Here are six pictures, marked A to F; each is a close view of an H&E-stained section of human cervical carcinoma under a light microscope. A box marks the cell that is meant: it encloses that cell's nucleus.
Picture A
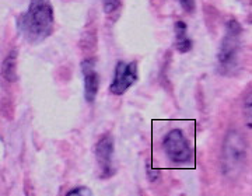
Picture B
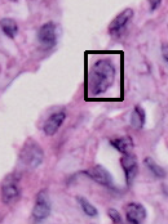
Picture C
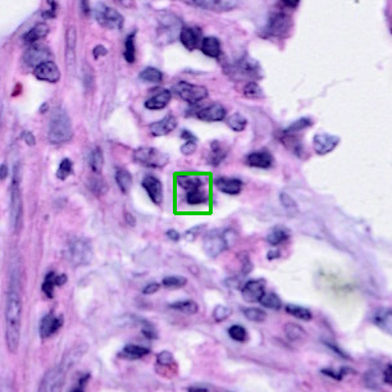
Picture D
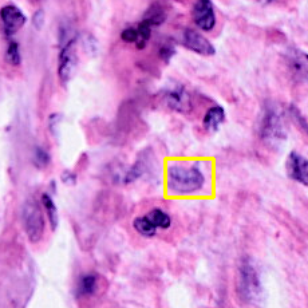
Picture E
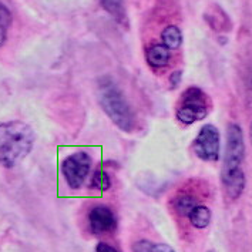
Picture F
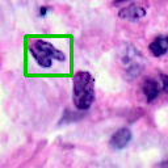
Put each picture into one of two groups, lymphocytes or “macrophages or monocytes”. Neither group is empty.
A: macrophage or monocyte
B: macrophage or monocyte
C: lymphocyte
D: macrophage or monocyte
E: lymphocyte
F: lymphocyte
